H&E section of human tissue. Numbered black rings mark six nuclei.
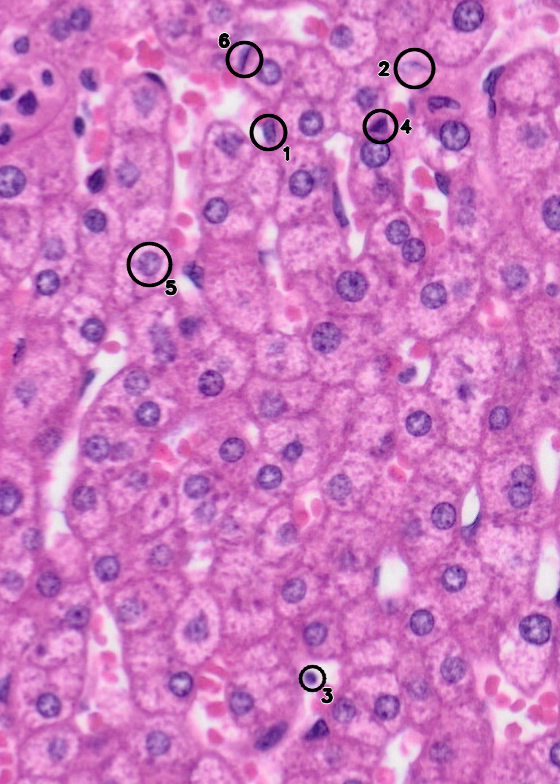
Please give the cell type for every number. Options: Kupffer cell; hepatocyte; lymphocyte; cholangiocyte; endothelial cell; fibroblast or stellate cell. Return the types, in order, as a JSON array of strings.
["endothelial cell", "Kupffer cell", "lymphocyte", "fibroblast or stellate cell", "hepatocyte", "fibroblast or stellate cell"]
